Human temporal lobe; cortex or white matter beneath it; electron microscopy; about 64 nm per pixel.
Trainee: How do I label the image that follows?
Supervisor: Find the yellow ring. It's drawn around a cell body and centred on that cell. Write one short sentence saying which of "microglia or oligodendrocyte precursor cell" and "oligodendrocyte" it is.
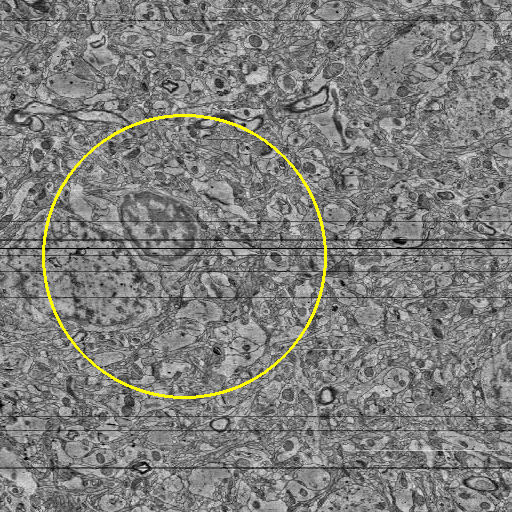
This is the cell body of an oligodendrocyte.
